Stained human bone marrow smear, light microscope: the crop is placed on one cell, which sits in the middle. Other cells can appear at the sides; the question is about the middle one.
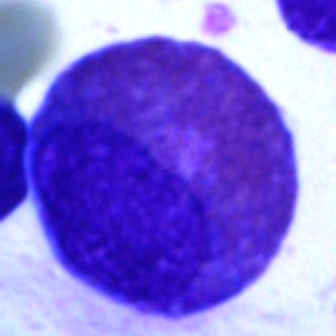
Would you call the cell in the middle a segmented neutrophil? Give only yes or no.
no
